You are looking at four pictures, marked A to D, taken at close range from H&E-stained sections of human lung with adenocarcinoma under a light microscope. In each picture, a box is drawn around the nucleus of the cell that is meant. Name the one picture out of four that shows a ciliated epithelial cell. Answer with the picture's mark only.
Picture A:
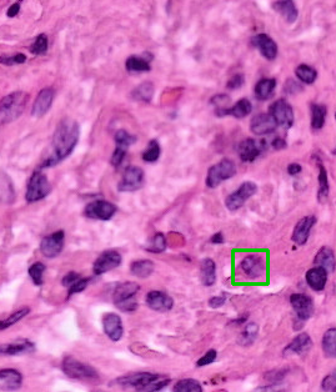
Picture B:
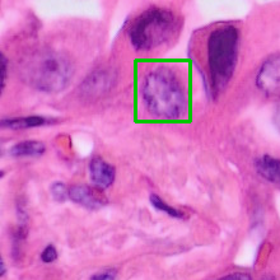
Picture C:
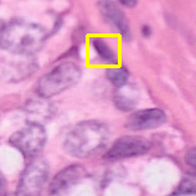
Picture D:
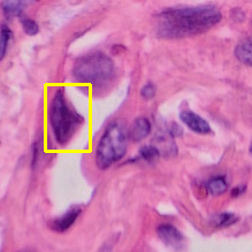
C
